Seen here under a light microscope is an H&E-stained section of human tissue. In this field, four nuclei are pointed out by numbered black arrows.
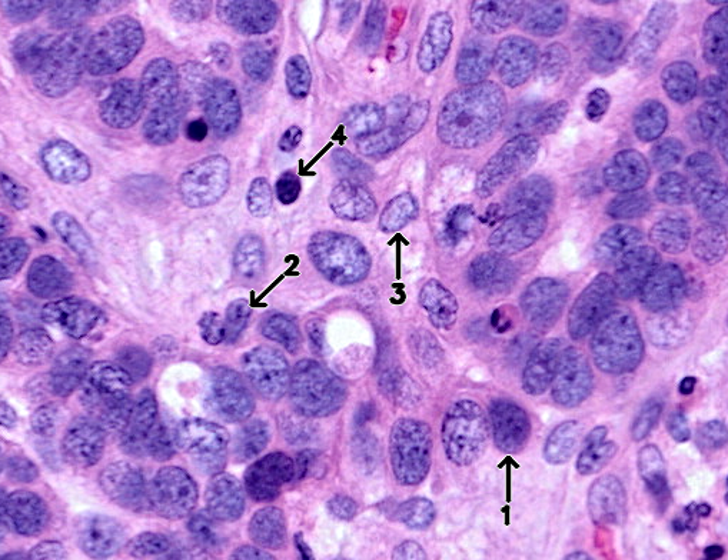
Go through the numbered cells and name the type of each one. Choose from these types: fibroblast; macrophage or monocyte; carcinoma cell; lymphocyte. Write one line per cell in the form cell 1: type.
cell 1: carcinoma cell
cell 2: macrophage or monocyte
cell 3: fibroblast
cell 4: lymphocyte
